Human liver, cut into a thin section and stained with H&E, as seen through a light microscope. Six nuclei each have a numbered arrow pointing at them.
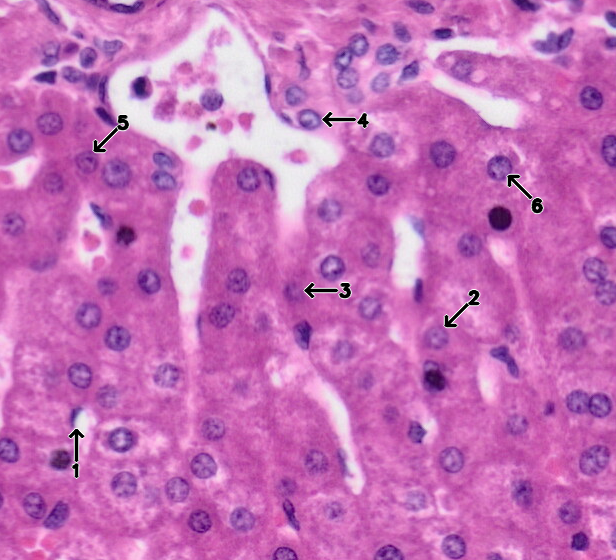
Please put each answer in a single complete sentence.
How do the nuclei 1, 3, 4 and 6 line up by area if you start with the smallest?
By area, going up from the smallest, they rank 1, 3, 4, 6.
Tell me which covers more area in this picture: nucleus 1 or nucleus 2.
Nucleus 2 is larger, with an area about 2.5 times that of nucleus 1.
